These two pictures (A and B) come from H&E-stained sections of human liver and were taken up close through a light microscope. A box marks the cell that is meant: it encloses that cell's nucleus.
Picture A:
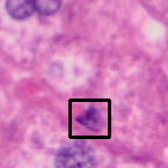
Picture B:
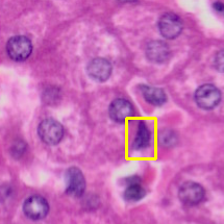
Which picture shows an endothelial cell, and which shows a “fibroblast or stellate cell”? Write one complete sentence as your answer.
The cell in picture A is an endothelial cell, and the one in picture B is a “fibroblast or stellate cell”.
